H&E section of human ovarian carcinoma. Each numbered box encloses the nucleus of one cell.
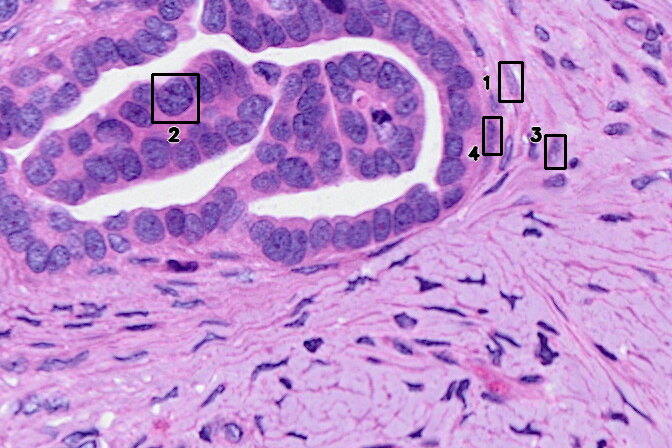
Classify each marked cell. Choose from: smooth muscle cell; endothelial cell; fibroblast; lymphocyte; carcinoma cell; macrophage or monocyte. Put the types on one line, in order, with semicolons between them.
fibroblast; carcinoma cell; fibroblast; fibroblast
